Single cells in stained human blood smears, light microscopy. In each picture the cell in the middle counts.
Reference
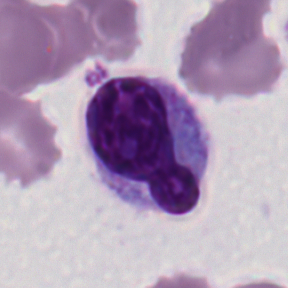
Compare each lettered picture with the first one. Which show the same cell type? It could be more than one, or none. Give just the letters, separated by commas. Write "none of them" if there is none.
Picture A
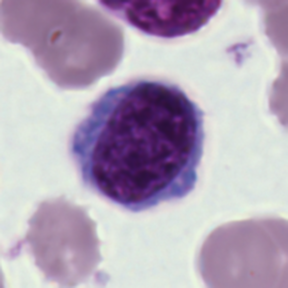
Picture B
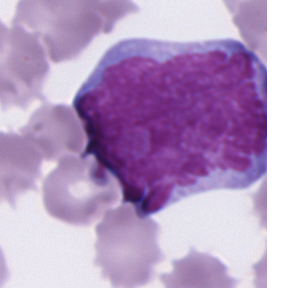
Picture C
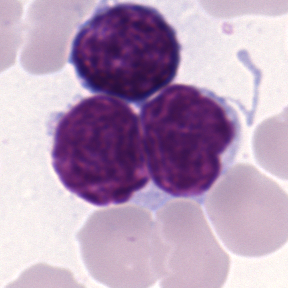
A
